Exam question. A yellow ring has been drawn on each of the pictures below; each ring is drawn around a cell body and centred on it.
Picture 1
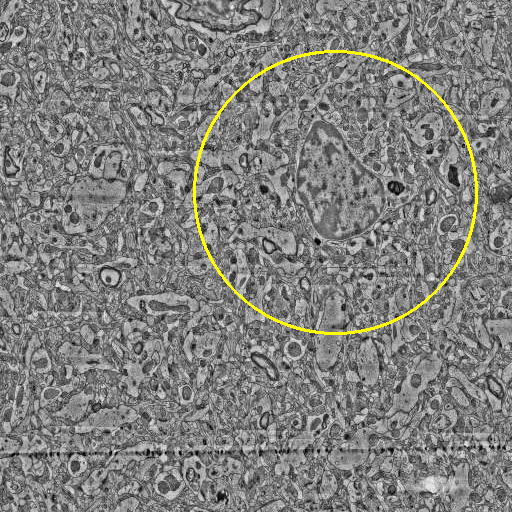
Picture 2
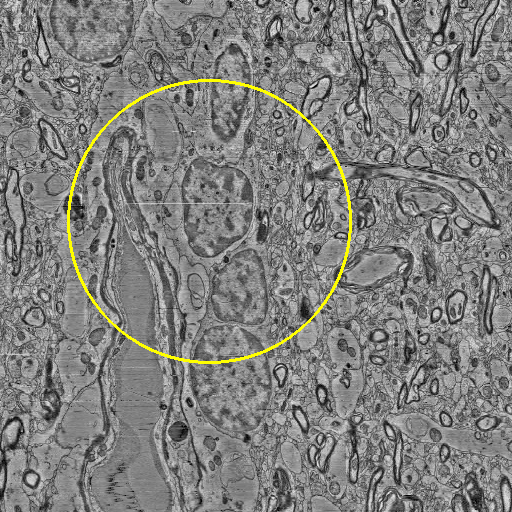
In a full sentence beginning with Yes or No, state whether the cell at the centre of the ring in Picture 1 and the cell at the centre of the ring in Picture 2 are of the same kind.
Yes, the two cells are of the same kind.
